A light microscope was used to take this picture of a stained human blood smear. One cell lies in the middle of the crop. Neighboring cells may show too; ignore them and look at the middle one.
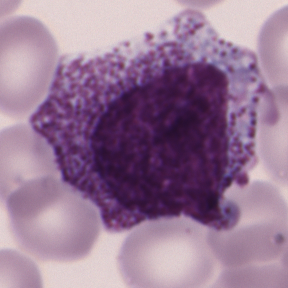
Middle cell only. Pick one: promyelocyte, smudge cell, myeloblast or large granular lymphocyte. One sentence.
Framed in the middle of the crop is a promyelocyte.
